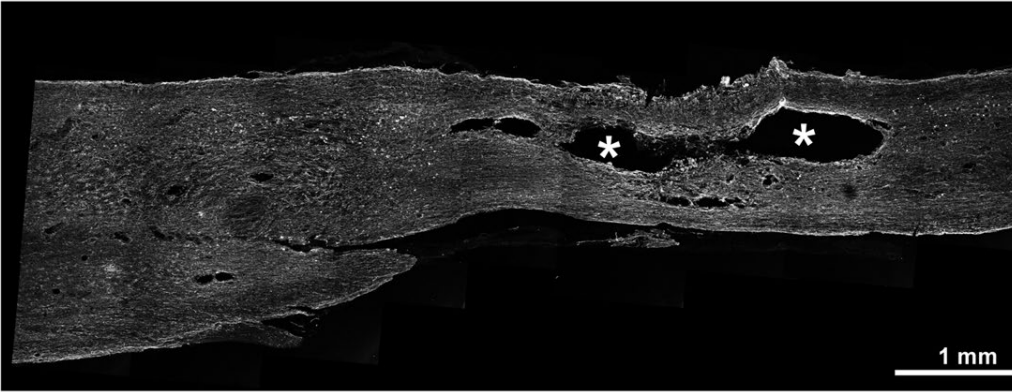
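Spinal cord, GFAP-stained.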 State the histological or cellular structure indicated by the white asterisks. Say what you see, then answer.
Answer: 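Two large black spaces devoid of tissue lie in the middle of the cord section. The spaces are bordered by brighter stained tissue.
Answer: large cavity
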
